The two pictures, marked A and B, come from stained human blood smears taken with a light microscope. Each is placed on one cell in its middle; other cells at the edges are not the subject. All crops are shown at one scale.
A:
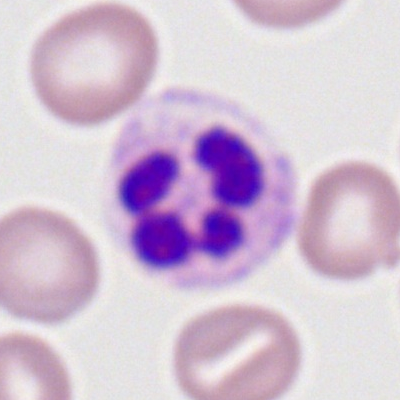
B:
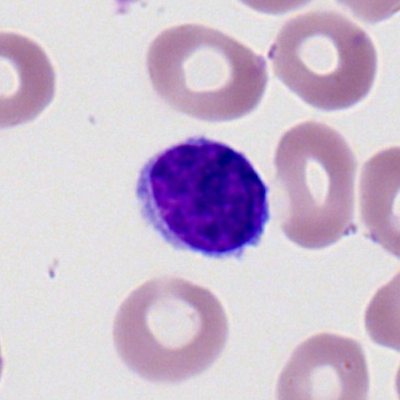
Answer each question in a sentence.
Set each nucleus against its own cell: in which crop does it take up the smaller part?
The nucleus fills less of the cell in crop A than in crop B.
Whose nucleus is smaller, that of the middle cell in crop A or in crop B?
Smaller is the nucleus in crop A, and the other is about 4 times as large in area.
